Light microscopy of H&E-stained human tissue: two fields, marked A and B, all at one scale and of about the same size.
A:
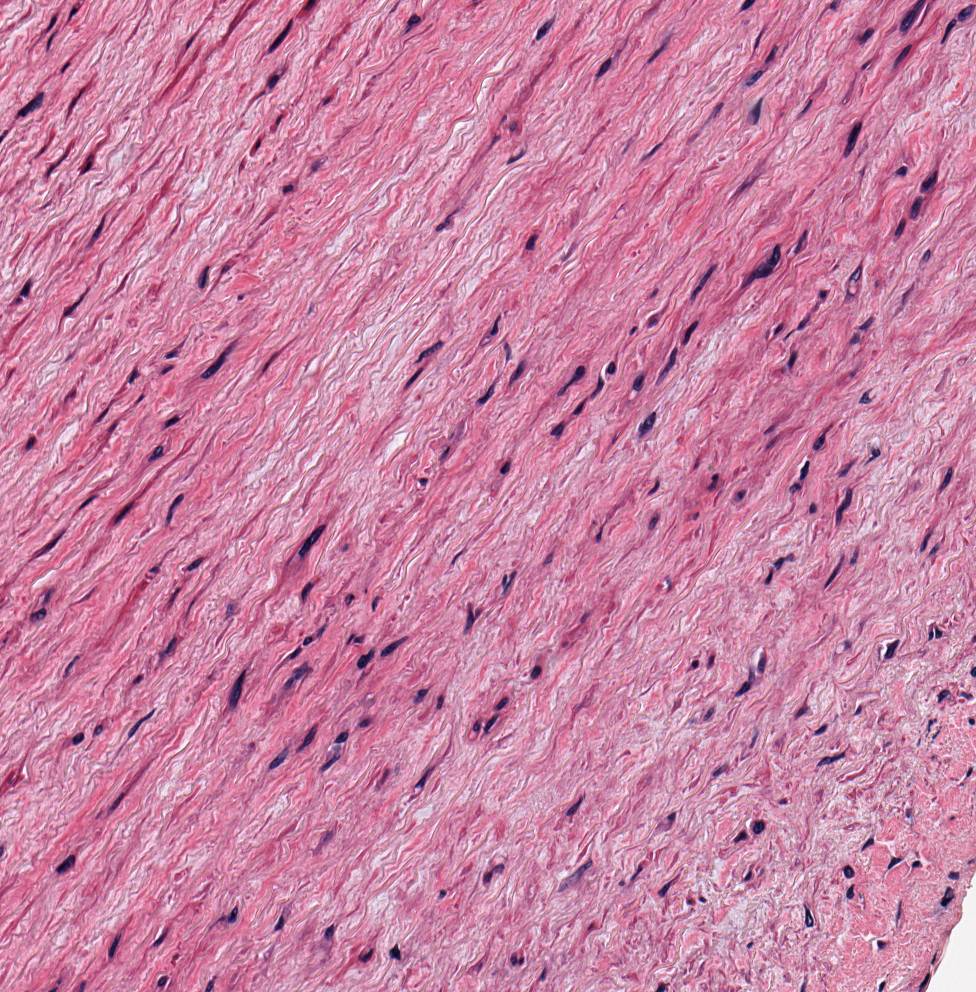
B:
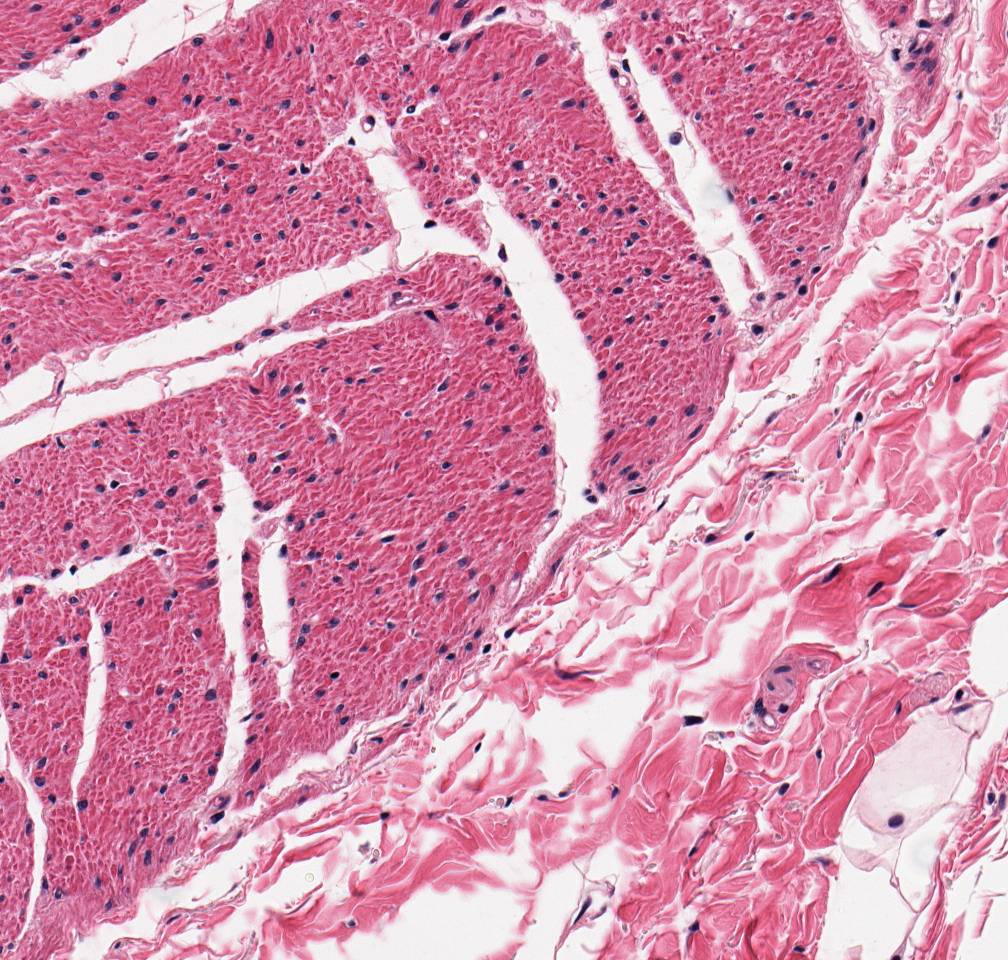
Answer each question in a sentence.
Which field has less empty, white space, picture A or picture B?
Less of picture A is empty and white.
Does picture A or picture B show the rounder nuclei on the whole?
Rounder nuclei lie in picture B.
